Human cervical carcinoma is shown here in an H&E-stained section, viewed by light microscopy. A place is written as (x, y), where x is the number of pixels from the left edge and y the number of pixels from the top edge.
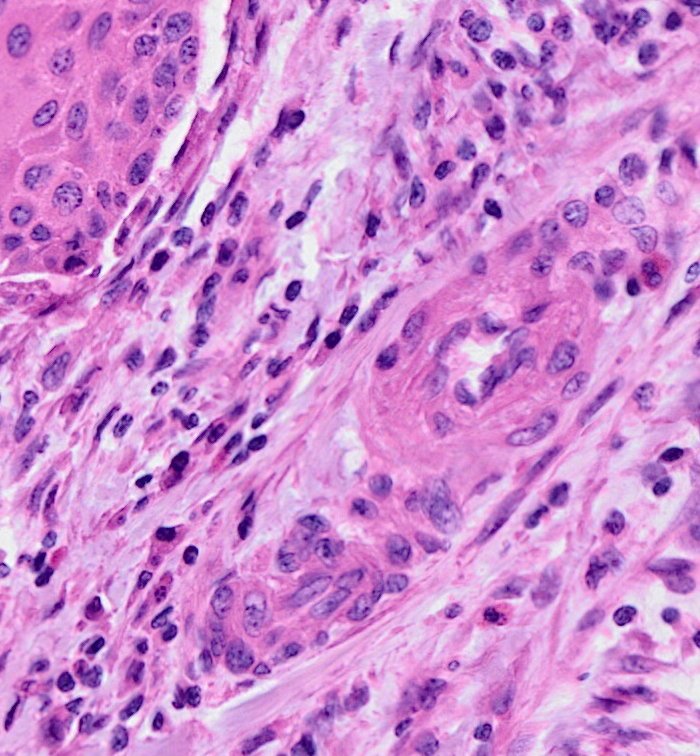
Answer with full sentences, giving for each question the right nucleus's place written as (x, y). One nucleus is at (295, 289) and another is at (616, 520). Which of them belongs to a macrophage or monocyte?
The nucleus at (616, 520) is contained in a macrophage or monocyte.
